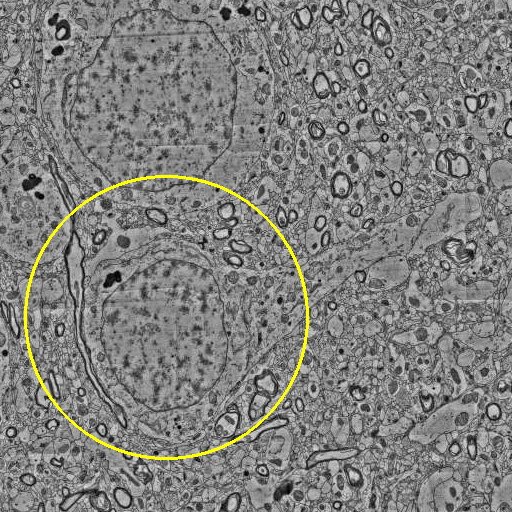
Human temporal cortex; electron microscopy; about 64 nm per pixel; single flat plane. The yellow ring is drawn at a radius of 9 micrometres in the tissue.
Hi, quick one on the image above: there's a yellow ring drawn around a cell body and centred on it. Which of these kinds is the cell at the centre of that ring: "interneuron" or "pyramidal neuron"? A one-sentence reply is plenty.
The cell at the centre of the ring is a pyramidal neuron.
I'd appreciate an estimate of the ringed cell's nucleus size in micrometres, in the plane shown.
The nucleus measures about 10 micrometers across in this plane.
